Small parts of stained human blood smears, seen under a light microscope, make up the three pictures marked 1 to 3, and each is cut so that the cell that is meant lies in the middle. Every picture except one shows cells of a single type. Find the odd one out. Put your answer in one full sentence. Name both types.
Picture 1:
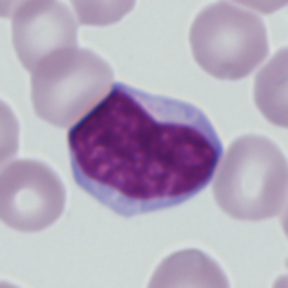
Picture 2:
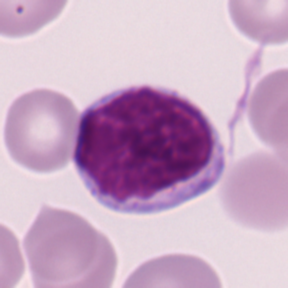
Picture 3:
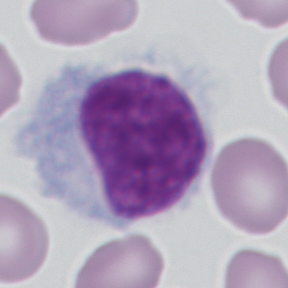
The different one is picture 3; it shows a hairy cell, whereas all the others show large granular lymphocytes.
